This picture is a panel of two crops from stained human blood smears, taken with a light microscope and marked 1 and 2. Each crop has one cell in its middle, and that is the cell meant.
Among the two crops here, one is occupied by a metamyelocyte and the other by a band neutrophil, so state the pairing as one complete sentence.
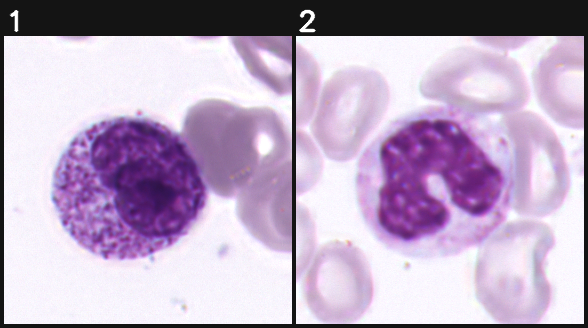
The middle of crop 1 is occupied by a metamyelocyte, and the middle of crop 2 by a band neutrophil.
